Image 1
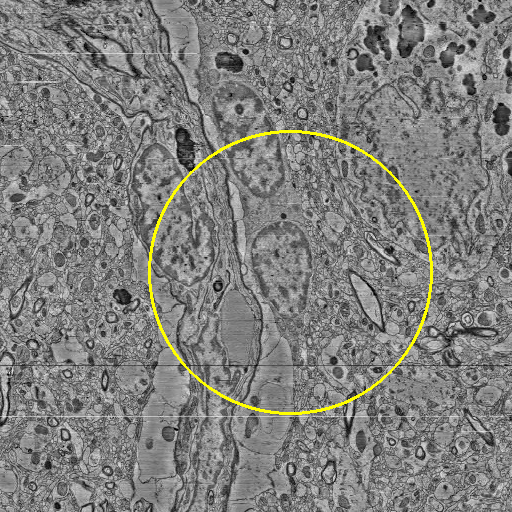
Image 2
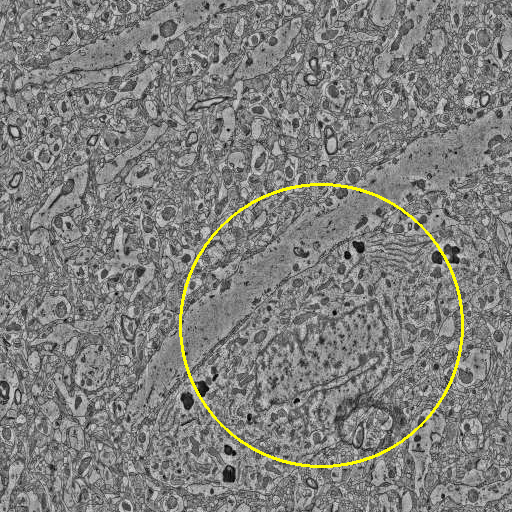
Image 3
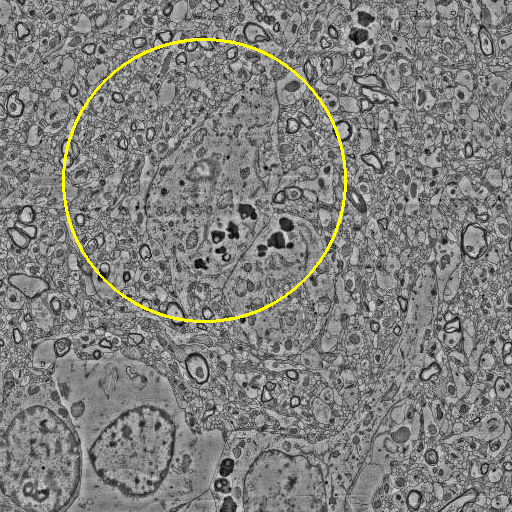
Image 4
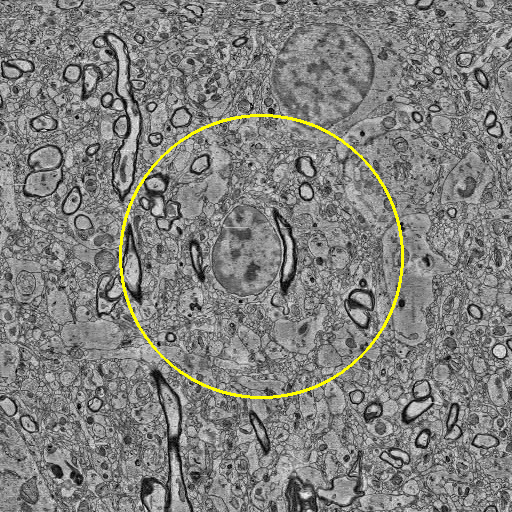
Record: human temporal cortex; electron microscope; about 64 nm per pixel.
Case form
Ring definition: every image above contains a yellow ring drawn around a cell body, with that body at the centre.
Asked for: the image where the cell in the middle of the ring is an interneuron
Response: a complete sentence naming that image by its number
Image 2 is the one.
